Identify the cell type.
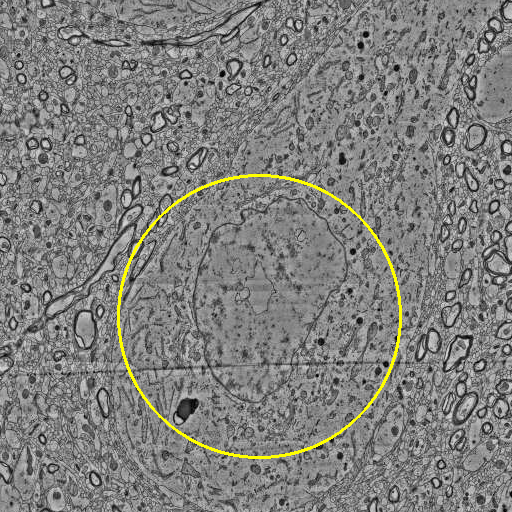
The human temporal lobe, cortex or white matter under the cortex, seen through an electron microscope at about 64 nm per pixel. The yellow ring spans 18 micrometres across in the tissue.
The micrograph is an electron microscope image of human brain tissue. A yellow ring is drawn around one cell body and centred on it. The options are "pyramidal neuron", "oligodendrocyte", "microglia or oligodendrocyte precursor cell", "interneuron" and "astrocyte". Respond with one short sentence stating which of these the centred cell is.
The cell body in the ring belongs to a pyramidal neuron.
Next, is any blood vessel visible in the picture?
No, there is none.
